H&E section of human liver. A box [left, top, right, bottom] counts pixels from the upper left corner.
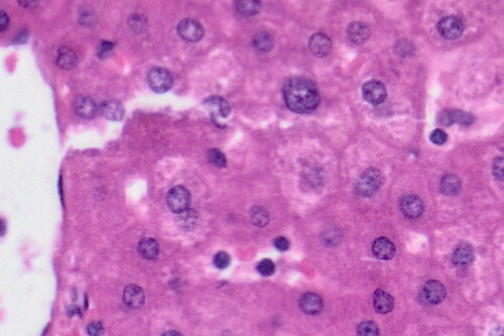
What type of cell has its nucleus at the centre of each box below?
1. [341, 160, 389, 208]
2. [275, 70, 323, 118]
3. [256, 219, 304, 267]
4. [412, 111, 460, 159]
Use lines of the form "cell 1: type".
cell 1: hepatocyte
cell 2: hepatocyte
cell 3: lymphocyte
cell 4: lymphocyte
